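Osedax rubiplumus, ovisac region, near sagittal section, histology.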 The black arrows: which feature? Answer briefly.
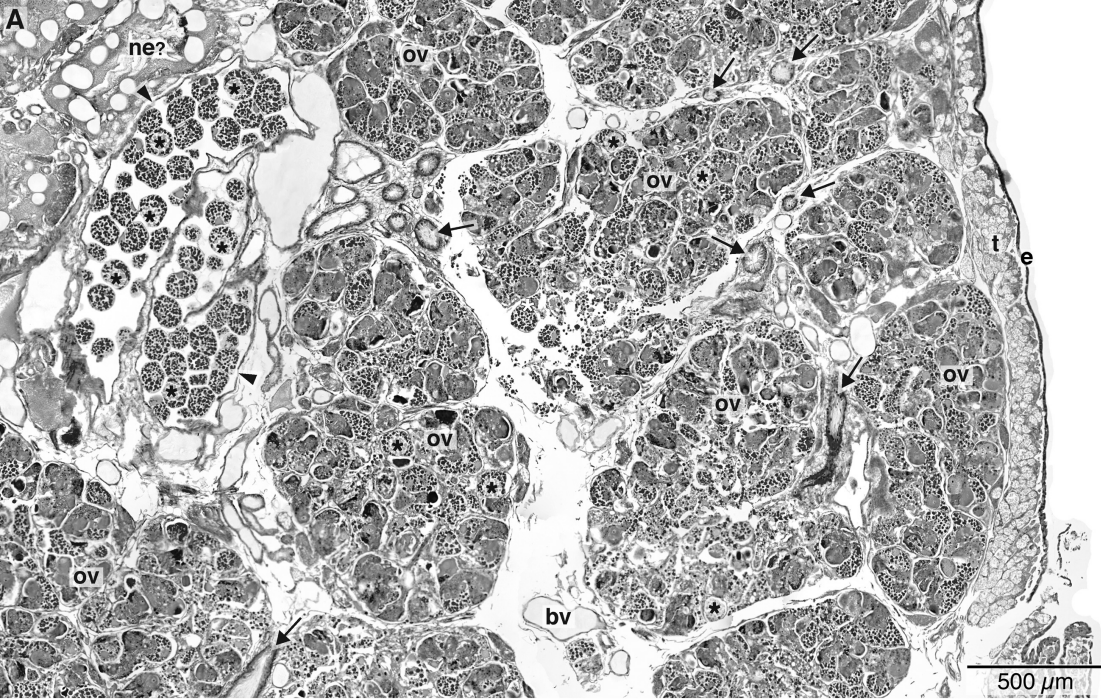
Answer: Ovarian ducts.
